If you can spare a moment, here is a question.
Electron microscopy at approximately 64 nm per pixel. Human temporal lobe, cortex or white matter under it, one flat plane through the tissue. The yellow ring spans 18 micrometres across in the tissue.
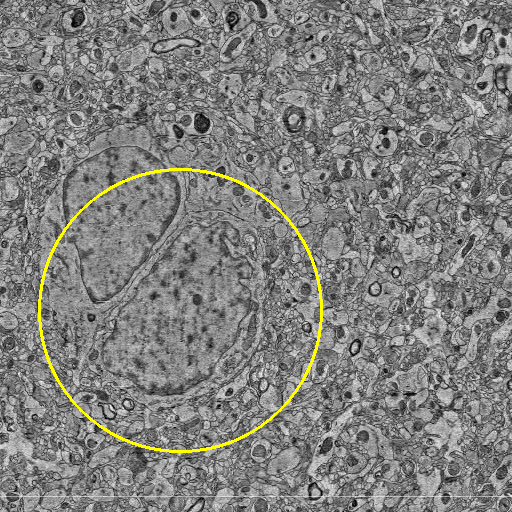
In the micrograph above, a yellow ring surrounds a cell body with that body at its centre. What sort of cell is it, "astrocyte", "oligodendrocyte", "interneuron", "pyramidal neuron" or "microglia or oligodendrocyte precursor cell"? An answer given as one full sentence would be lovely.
Centred inside the yellow ring, the cell body shown belongs to an interneuron in this micrograph.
